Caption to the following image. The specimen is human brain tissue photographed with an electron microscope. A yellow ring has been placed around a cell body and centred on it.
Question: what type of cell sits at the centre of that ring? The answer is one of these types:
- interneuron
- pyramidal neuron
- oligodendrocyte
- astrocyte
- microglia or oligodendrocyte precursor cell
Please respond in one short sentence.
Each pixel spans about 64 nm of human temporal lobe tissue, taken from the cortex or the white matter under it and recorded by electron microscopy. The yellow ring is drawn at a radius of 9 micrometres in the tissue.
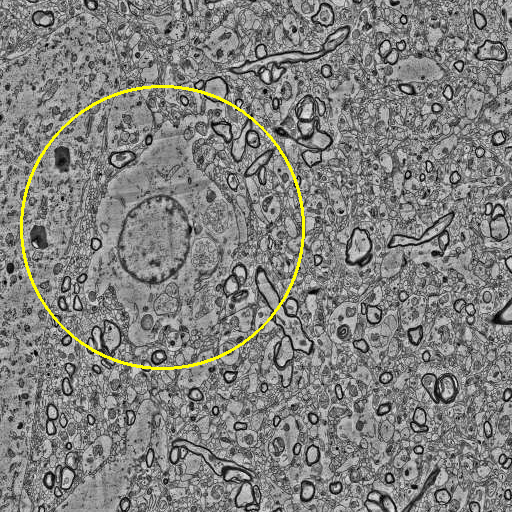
The ring surrounds the cell body of an astrocyte.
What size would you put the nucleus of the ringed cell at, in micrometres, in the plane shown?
Roughly 6 by 4 micrometres is the size of the nucleus in this plane.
